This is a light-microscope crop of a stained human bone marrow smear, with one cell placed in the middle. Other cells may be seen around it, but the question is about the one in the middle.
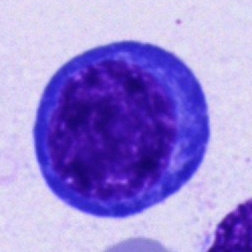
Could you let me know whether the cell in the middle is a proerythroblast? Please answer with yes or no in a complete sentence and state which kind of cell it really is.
Yes, it is a proerythroblast that occupies the centre of the crop.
